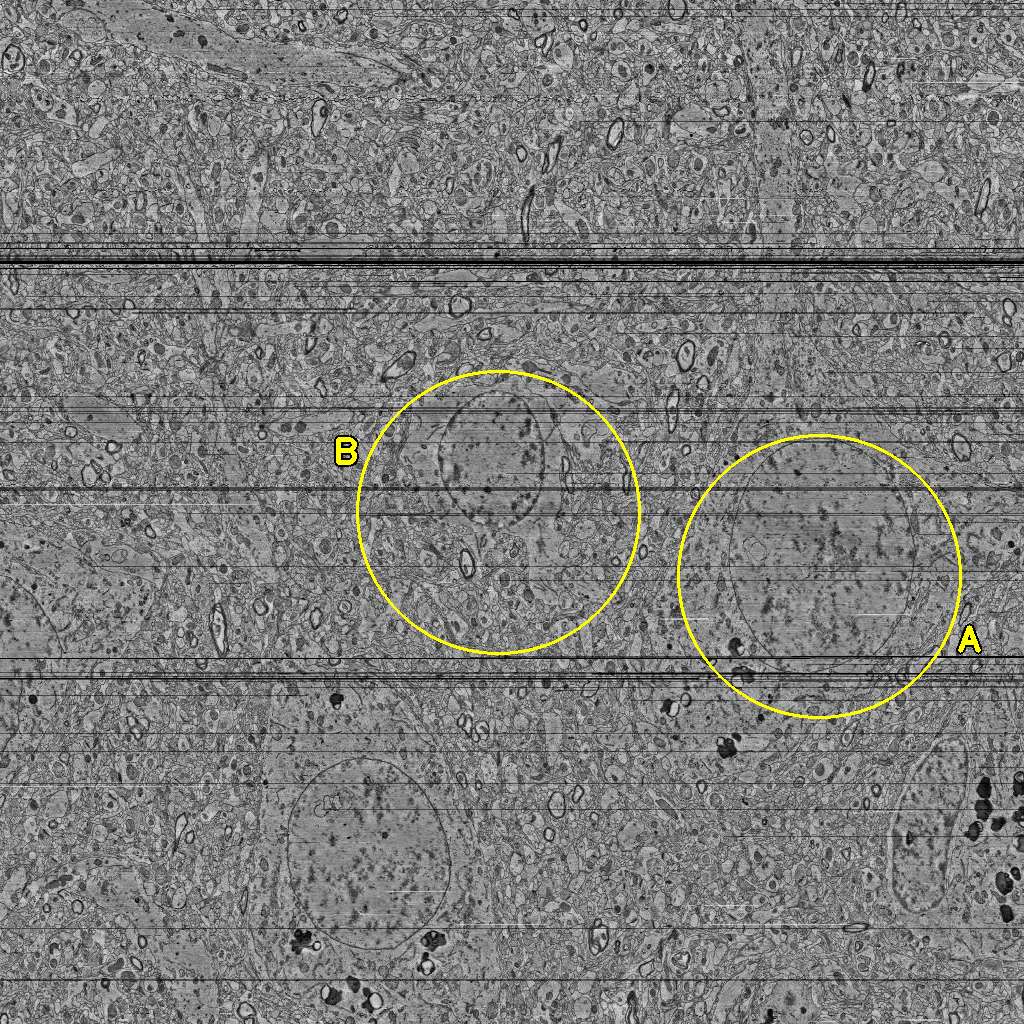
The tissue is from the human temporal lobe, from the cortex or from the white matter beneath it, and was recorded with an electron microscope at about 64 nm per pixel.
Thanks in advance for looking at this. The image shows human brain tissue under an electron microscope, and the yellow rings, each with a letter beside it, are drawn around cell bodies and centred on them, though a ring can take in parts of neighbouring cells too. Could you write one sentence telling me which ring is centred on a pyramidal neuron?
Ring A is centred on it.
